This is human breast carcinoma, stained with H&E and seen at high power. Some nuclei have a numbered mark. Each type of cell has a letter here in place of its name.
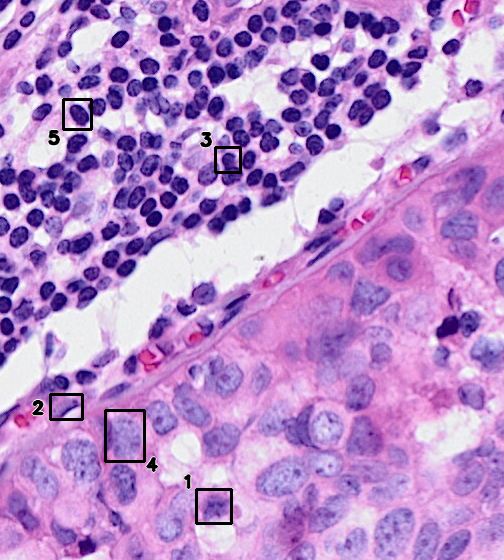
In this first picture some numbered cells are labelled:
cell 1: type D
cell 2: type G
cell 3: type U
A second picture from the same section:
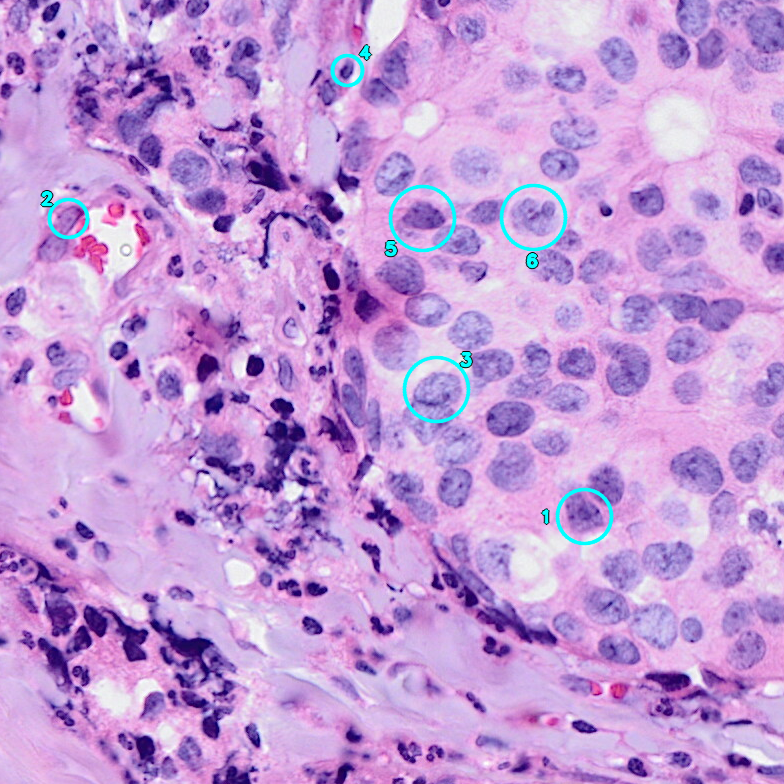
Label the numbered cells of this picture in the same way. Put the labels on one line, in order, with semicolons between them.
type D; type G; type D; type U; type D; type D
